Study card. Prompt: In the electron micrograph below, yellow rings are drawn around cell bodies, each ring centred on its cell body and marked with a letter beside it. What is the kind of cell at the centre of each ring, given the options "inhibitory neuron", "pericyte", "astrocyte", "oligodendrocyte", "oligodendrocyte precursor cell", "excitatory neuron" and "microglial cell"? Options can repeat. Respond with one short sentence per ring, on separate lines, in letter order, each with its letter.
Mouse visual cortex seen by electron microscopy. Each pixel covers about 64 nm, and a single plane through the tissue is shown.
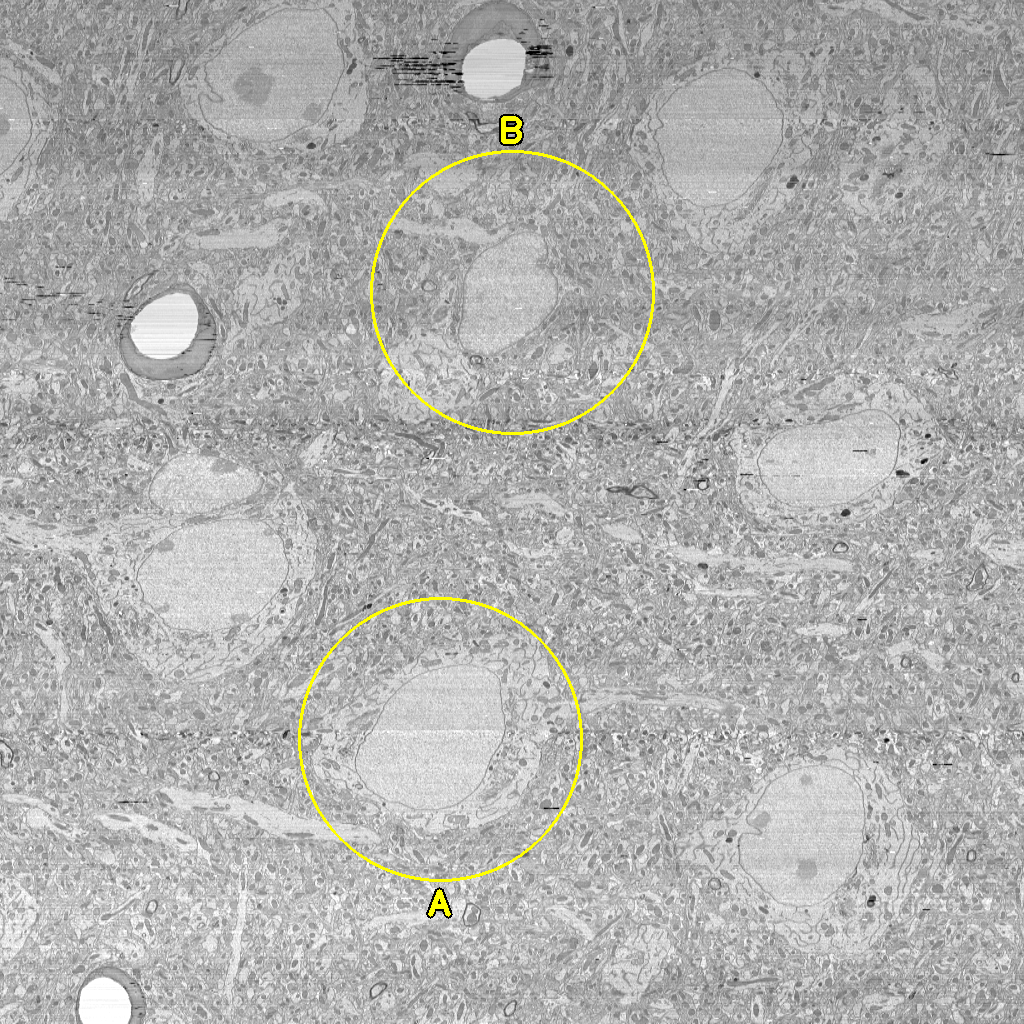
Ring A outlines an excitatory neuron.
Ring B outlines an astrocyte.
